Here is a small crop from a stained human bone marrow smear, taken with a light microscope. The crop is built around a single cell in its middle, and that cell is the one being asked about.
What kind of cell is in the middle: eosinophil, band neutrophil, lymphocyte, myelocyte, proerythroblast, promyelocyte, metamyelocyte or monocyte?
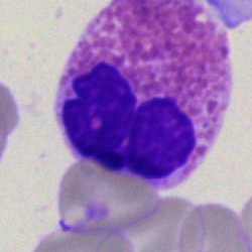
eosinophil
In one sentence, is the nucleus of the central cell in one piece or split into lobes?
Rather than a single mass, the nucleus forms two or more lobes.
